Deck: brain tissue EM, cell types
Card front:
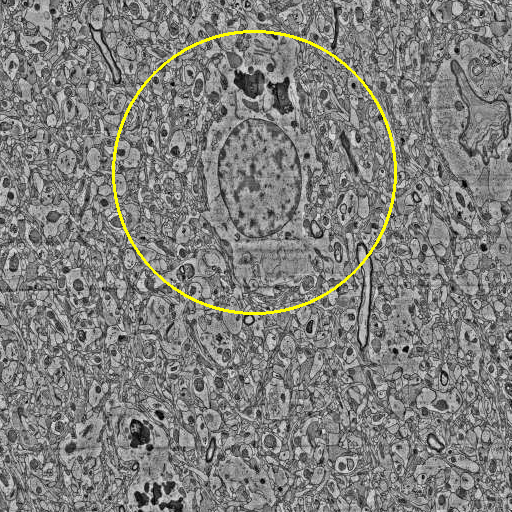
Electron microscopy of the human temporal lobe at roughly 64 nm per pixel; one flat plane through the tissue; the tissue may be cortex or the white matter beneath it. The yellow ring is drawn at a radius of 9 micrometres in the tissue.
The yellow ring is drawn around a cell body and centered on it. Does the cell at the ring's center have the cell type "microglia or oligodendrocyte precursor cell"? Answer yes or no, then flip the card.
no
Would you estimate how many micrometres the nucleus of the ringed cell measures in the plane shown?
About 8 micrometres by about 5 micrometres in this plane.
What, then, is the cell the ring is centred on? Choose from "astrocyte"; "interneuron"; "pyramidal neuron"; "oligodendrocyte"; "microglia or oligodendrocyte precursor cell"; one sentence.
The cell marked by the ring is an astrocyte.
